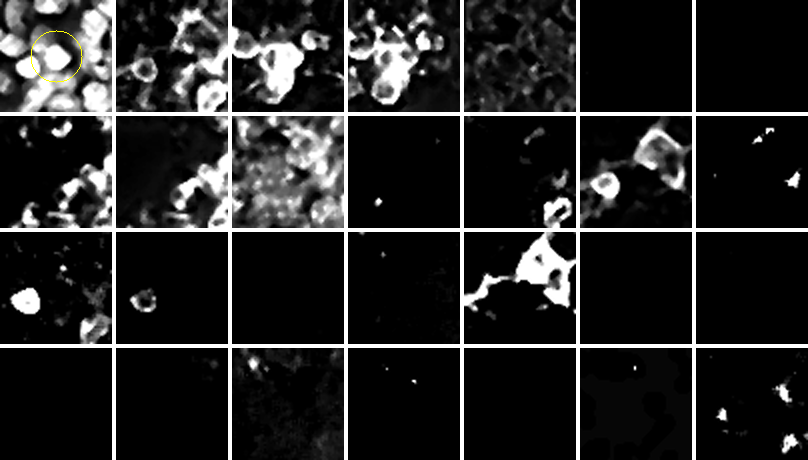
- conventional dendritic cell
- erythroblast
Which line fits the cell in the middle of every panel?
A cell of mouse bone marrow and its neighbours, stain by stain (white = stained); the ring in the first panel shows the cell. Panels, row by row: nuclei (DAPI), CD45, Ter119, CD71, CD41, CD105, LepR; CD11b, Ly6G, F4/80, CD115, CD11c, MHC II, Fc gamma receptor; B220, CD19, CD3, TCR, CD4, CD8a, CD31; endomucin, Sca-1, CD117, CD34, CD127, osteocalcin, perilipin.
erythroblast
